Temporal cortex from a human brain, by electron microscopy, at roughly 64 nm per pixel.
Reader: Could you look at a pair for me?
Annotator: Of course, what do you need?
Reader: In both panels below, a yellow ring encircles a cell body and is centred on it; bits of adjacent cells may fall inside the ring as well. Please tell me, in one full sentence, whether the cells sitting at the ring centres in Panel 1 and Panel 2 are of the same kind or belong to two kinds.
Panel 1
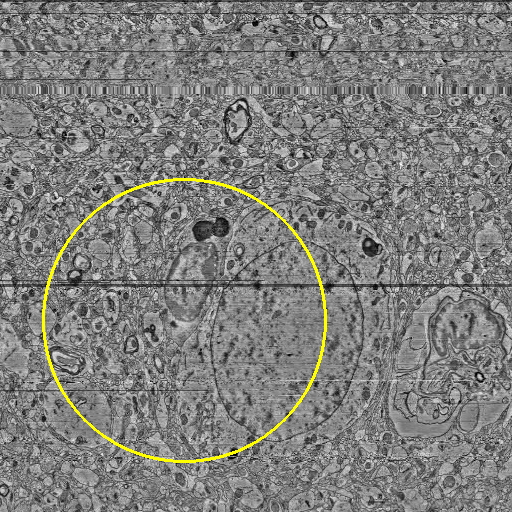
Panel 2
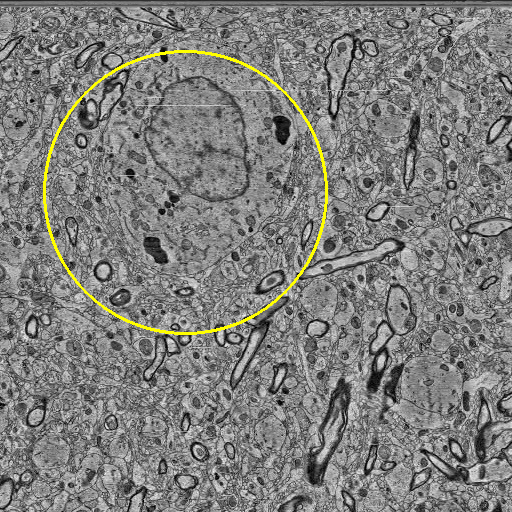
The cell at the ring's centre in Panel 1 and the one in Panel 2 belong to two kinds.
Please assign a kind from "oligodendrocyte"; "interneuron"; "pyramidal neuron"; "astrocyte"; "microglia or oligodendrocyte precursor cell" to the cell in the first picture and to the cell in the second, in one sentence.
In the first picture we have an oligodendrocyte, and in the second, a pyramidal neuron.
